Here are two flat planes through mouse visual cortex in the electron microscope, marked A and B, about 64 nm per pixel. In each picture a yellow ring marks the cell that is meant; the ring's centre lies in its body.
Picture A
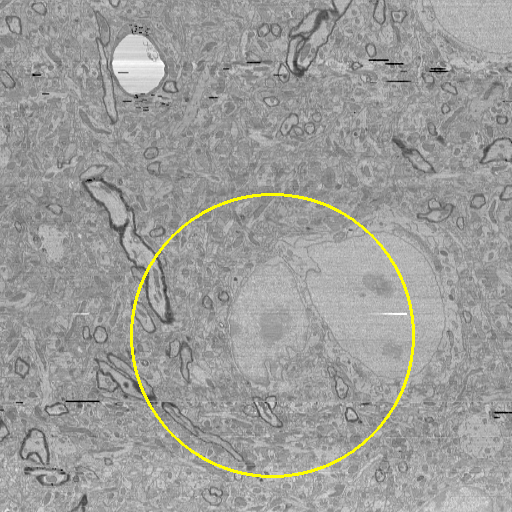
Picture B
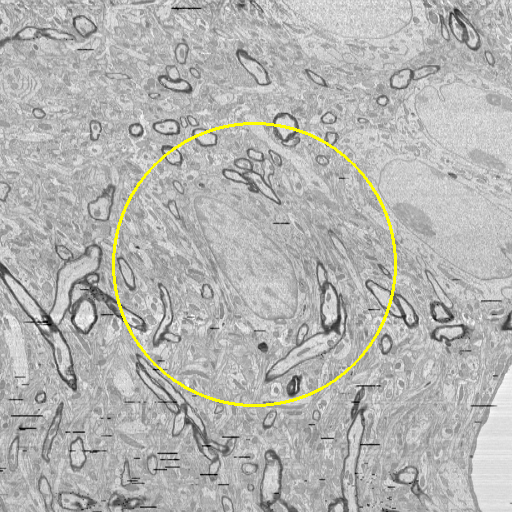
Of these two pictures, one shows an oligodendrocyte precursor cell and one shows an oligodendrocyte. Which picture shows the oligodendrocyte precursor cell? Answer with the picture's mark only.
A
